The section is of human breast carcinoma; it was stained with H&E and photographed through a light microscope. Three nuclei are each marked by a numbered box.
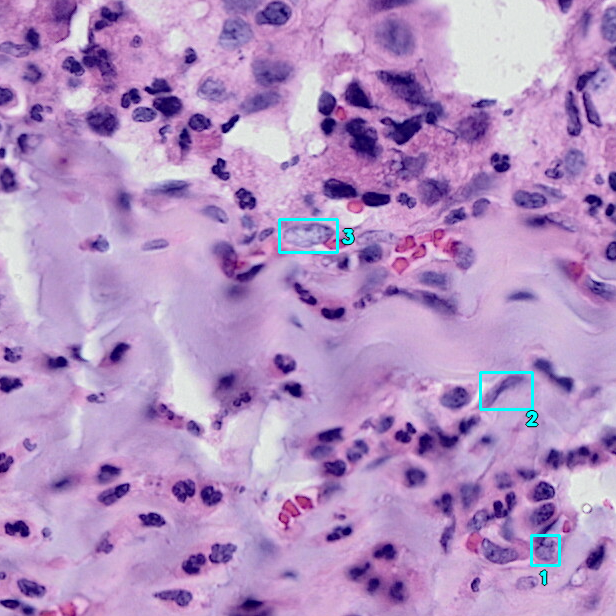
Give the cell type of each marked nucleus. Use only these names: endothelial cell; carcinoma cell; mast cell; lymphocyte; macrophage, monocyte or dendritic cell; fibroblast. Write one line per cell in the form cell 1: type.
cell 1: endothelial cell
cell 2: fibroblast
cell 3: endothelial cell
